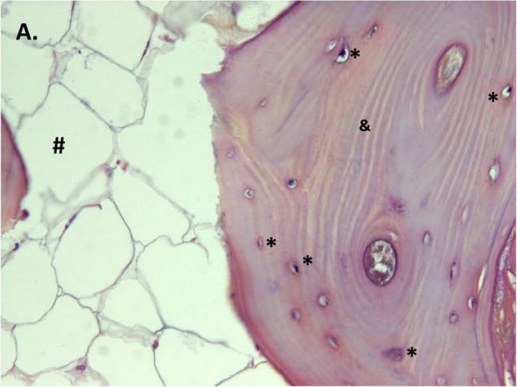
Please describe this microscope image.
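Normal bone trabecula with intact osteocytes beside fatty marrow. The trabecula is pink with concentric lamellae around round vascular canals. Small osteocytes with dark nuclei sit in lacunae scattered through the matrix. To the left, the medullary space is filled with large, empty polygonal fat cells with thin walls and small flattened peripheral nuclei.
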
